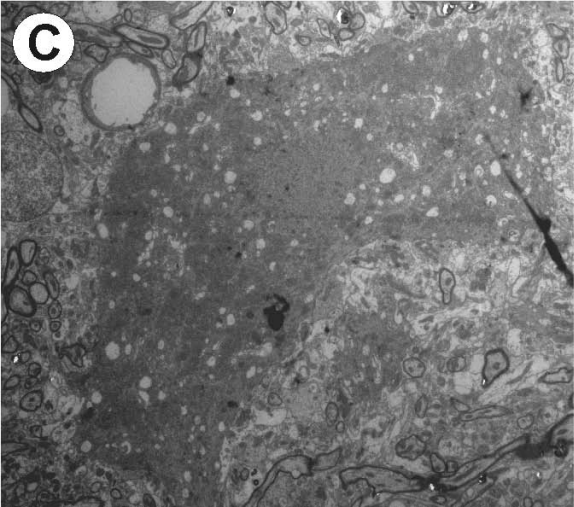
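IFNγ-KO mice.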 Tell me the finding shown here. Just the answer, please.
Darkly stained cytoplasm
